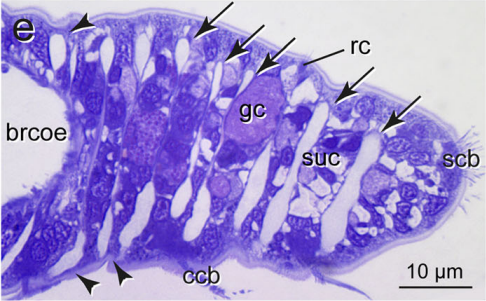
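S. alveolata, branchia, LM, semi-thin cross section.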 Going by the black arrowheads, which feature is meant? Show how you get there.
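The arrowheads mark small pale spaces just beneath the outer surface of the epithelium. On this evidence: blood spaces close to surface.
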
